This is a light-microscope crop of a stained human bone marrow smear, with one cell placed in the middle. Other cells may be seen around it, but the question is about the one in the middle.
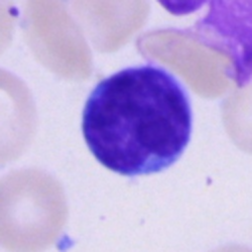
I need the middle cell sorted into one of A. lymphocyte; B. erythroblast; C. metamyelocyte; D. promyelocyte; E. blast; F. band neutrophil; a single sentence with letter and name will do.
What sits in the middle of the crop is a lymphocyte, and option A is correct.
